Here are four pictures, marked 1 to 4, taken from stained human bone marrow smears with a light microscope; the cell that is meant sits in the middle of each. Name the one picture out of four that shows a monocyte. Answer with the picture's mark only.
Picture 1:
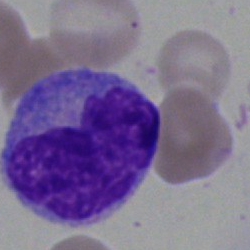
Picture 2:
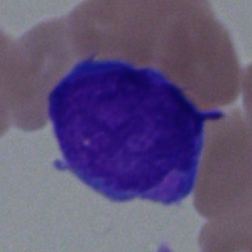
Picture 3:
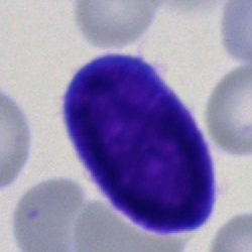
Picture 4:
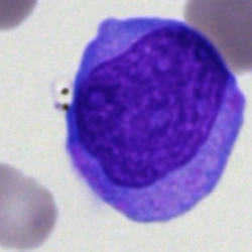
1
